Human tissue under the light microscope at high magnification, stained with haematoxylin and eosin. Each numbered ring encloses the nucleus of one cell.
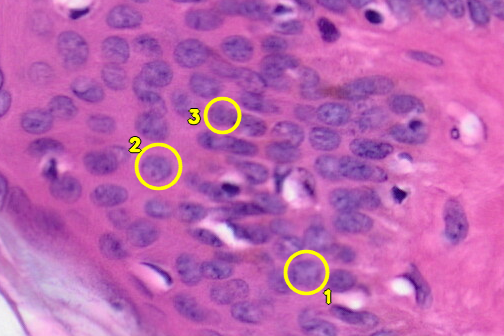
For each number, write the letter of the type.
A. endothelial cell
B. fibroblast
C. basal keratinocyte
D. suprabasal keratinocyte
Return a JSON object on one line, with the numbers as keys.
{"1": "D", "2": "D", "3": "C"}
